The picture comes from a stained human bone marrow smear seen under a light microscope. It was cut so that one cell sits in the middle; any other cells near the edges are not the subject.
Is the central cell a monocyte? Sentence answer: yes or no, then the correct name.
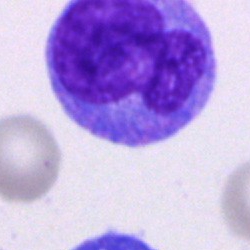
Yes, the cell in the middle of this smear crop is a monocyte.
